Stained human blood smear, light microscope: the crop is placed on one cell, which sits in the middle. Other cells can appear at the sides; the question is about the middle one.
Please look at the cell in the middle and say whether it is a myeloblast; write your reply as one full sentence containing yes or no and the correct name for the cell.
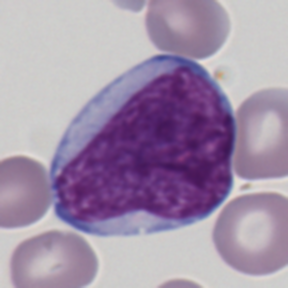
Yes, this crop has a myeloblast at its centre.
